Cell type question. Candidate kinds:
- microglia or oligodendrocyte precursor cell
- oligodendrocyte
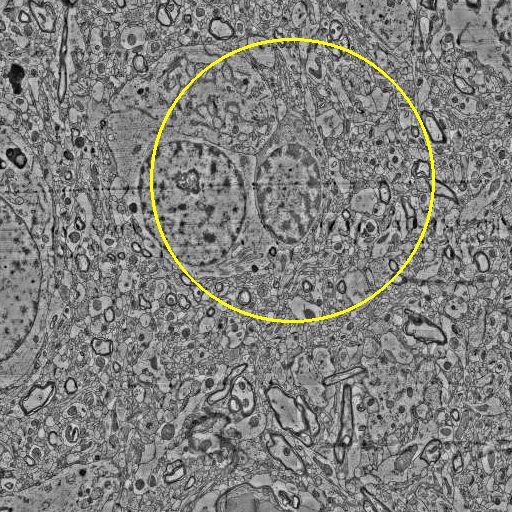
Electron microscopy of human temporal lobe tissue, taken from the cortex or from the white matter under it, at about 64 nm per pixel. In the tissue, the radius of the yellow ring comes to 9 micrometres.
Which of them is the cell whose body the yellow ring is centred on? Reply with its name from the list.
oligodendrocyte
